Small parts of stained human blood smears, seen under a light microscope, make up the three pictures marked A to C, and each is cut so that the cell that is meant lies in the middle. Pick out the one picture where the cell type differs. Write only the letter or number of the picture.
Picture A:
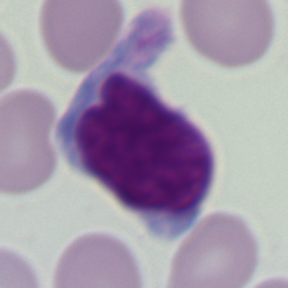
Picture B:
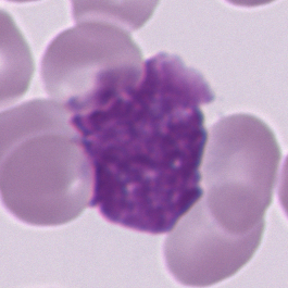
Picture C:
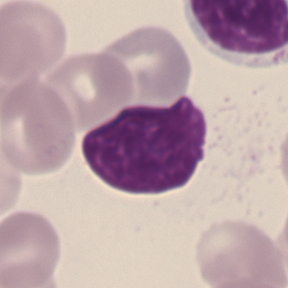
A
